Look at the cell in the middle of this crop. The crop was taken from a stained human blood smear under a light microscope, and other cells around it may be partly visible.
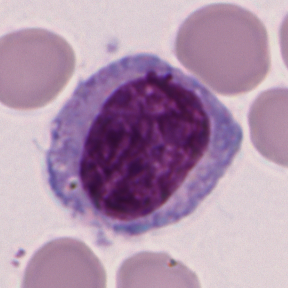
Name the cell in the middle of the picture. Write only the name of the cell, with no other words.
plasma cell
